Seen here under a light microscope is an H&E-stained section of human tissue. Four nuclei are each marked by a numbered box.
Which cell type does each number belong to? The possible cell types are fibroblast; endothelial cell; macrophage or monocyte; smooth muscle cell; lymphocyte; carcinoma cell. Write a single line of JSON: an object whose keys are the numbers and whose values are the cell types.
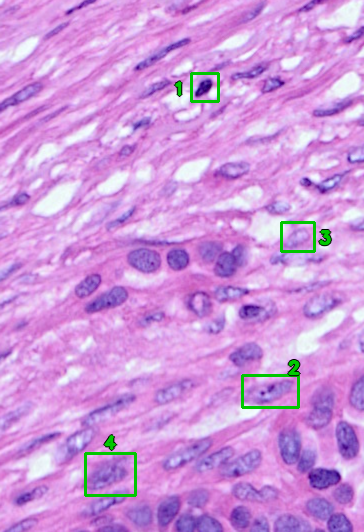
{"1": "lymphocyte", "2": "fibroblast", "3": "fibroblast", "4": "fibroblast"}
